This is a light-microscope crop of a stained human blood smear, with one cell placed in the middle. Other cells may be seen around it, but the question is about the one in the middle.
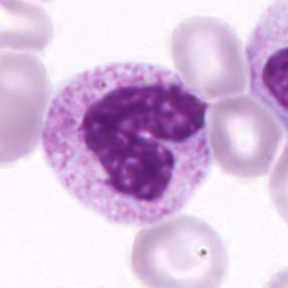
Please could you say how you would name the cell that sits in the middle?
band neutrophil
